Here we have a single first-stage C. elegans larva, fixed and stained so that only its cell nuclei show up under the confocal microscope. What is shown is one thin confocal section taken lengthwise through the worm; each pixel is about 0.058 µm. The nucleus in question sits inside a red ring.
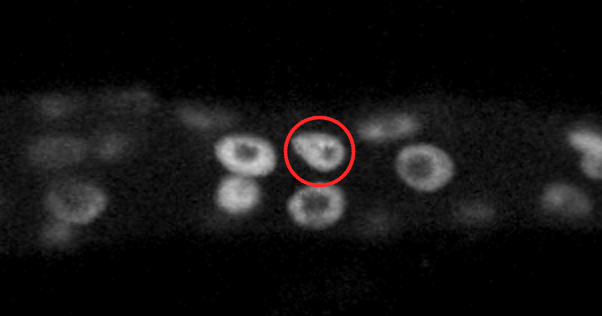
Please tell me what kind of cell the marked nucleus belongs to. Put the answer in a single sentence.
It belongs to a P cell (ventral epidermal blast cell).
